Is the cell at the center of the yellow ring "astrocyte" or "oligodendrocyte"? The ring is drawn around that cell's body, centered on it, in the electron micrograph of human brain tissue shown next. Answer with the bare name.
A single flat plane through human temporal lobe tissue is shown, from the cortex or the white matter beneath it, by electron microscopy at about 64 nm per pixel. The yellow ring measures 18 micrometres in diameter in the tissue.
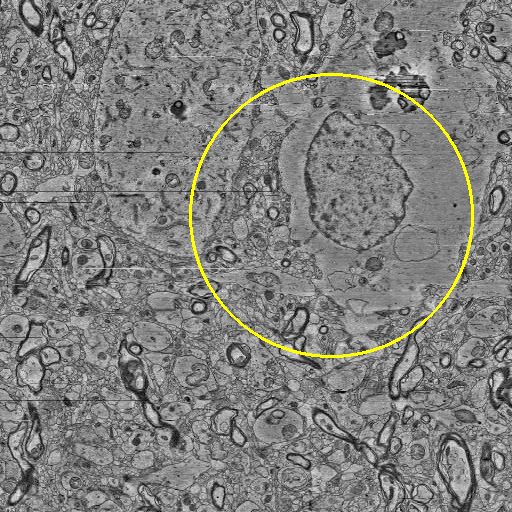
astrocyte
